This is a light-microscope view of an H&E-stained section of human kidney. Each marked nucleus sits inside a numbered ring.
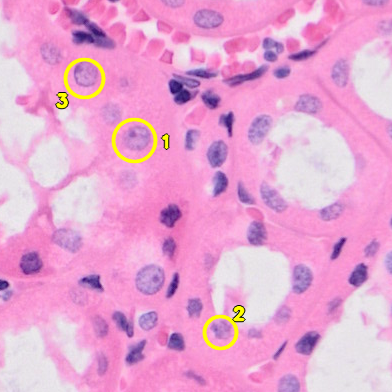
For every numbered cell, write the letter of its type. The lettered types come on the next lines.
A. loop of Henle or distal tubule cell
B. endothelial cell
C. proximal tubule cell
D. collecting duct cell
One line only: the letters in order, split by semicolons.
C; A; C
